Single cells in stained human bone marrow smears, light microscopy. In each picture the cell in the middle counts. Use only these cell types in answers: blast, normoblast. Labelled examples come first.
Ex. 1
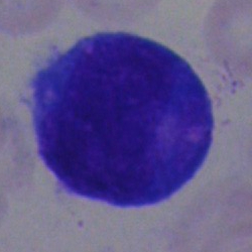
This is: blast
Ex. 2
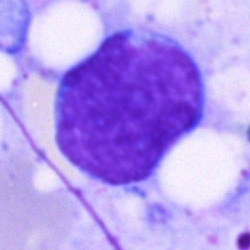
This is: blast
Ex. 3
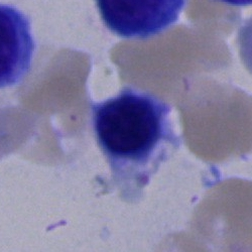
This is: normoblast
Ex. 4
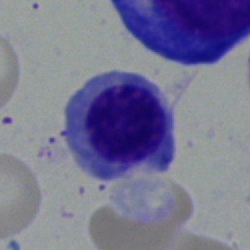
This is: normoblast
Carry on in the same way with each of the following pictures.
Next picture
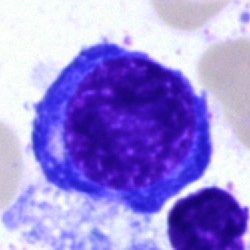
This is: normoblast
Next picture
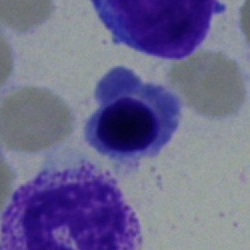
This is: normoblast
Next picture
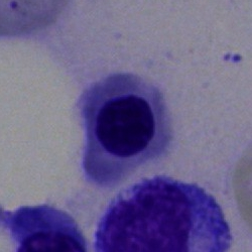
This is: normoblast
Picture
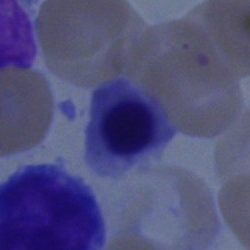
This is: normoblast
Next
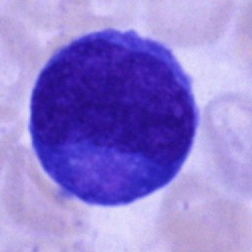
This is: blast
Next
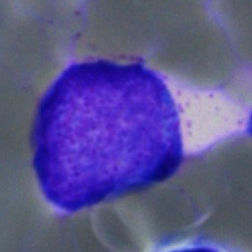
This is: blast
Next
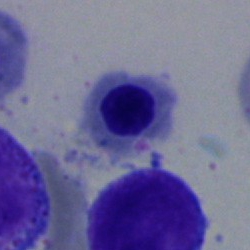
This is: normoblast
